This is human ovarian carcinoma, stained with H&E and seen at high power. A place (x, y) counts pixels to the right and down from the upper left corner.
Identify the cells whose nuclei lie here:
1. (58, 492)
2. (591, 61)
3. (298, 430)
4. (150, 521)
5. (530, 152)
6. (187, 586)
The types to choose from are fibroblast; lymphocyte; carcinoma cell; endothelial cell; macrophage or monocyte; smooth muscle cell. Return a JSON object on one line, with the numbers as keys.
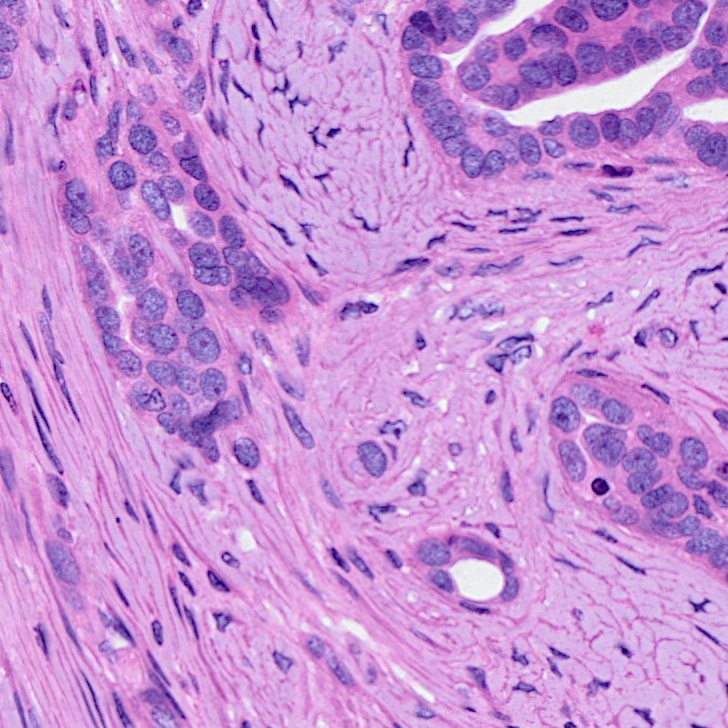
{"1": "fibroblast", "2": "carcinoma cell", "3": "fibroblast", "4": "fibroblast", "5": "carcinoma cell", "6": "fibroblast"}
